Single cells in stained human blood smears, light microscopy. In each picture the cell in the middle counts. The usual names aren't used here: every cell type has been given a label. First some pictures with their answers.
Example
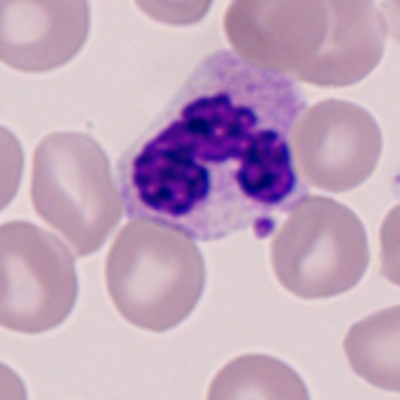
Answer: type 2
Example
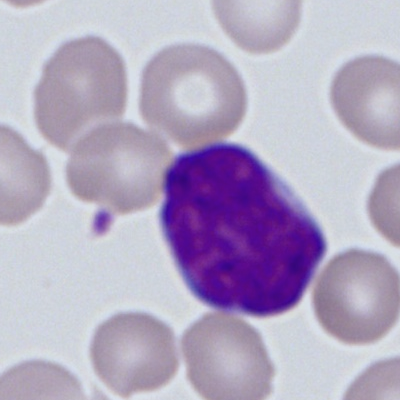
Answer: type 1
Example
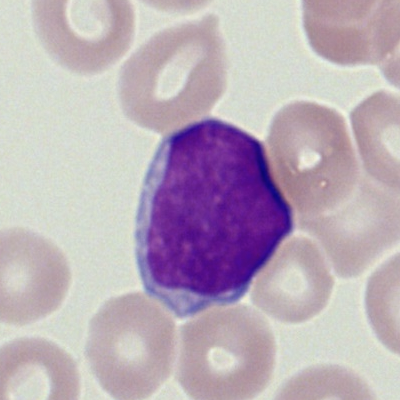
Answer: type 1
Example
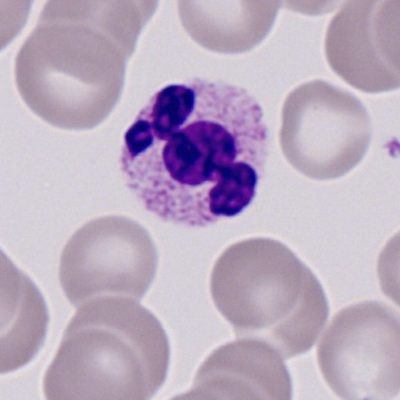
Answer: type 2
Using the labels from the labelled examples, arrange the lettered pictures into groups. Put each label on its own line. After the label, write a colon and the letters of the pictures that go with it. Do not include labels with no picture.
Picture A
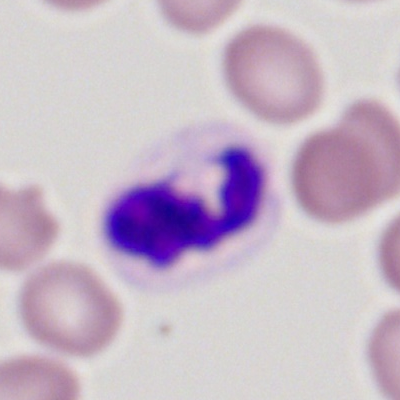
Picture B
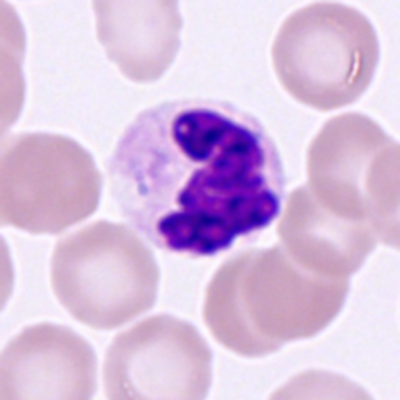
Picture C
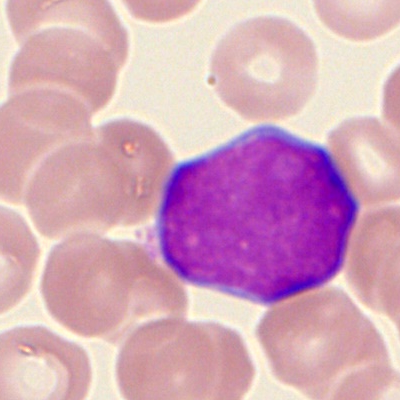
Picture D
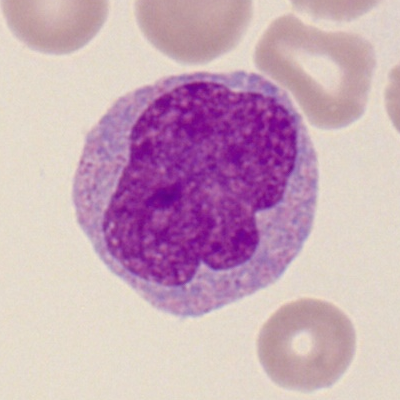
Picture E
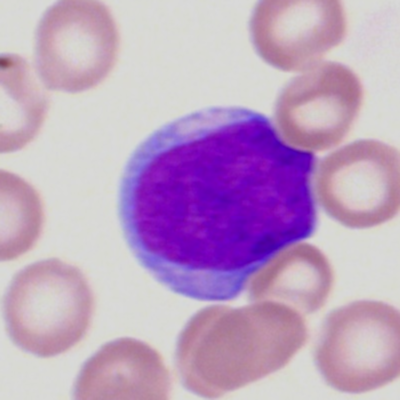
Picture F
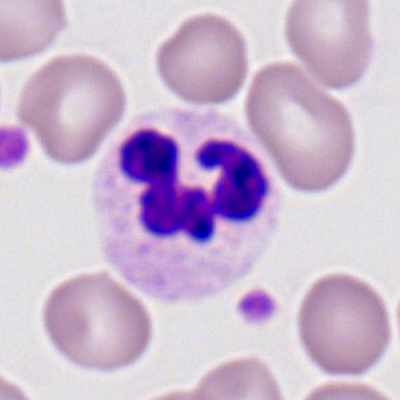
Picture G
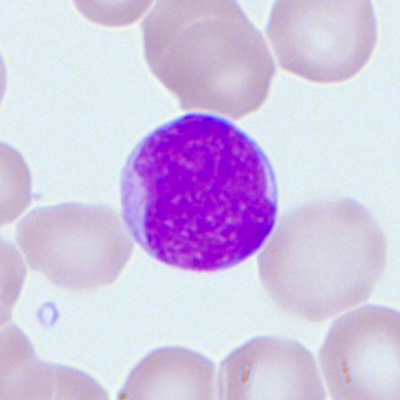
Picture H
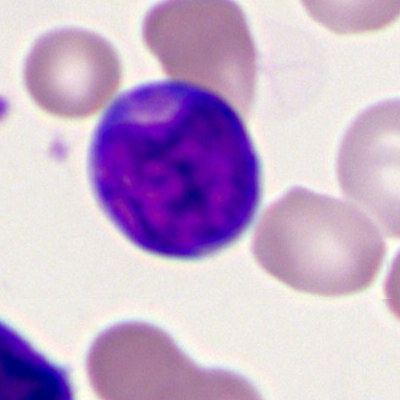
type 2: A, B, F
type 1: C, D, E, G, H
